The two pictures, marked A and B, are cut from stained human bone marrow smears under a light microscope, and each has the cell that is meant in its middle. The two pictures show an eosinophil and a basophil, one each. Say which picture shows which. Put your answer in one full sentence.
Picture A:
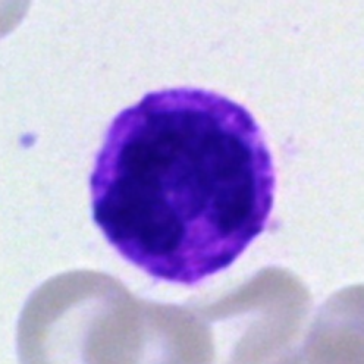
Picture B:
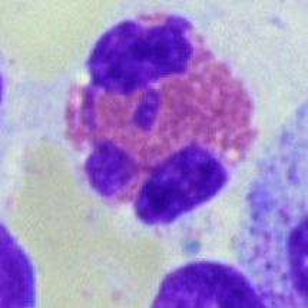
In picture A the cell is a basophil; in picture B, an eosinophil.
